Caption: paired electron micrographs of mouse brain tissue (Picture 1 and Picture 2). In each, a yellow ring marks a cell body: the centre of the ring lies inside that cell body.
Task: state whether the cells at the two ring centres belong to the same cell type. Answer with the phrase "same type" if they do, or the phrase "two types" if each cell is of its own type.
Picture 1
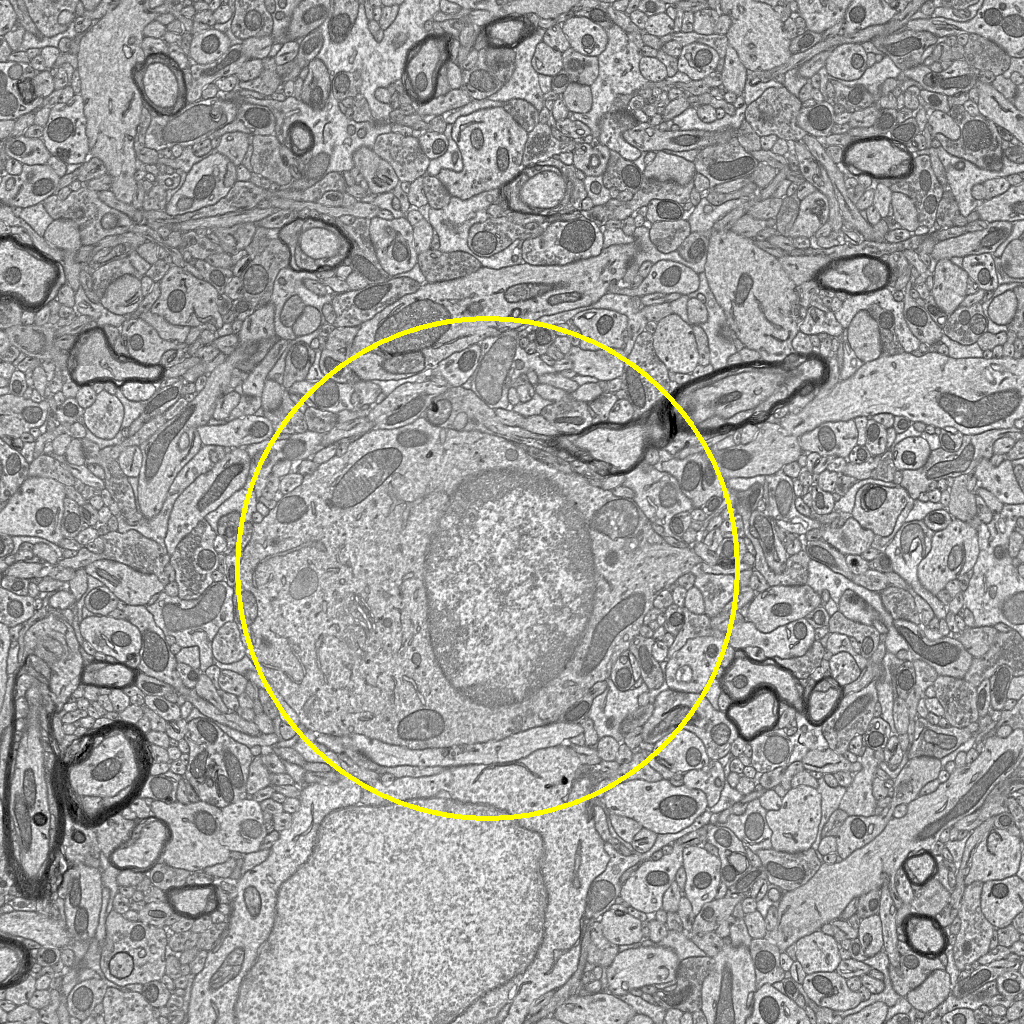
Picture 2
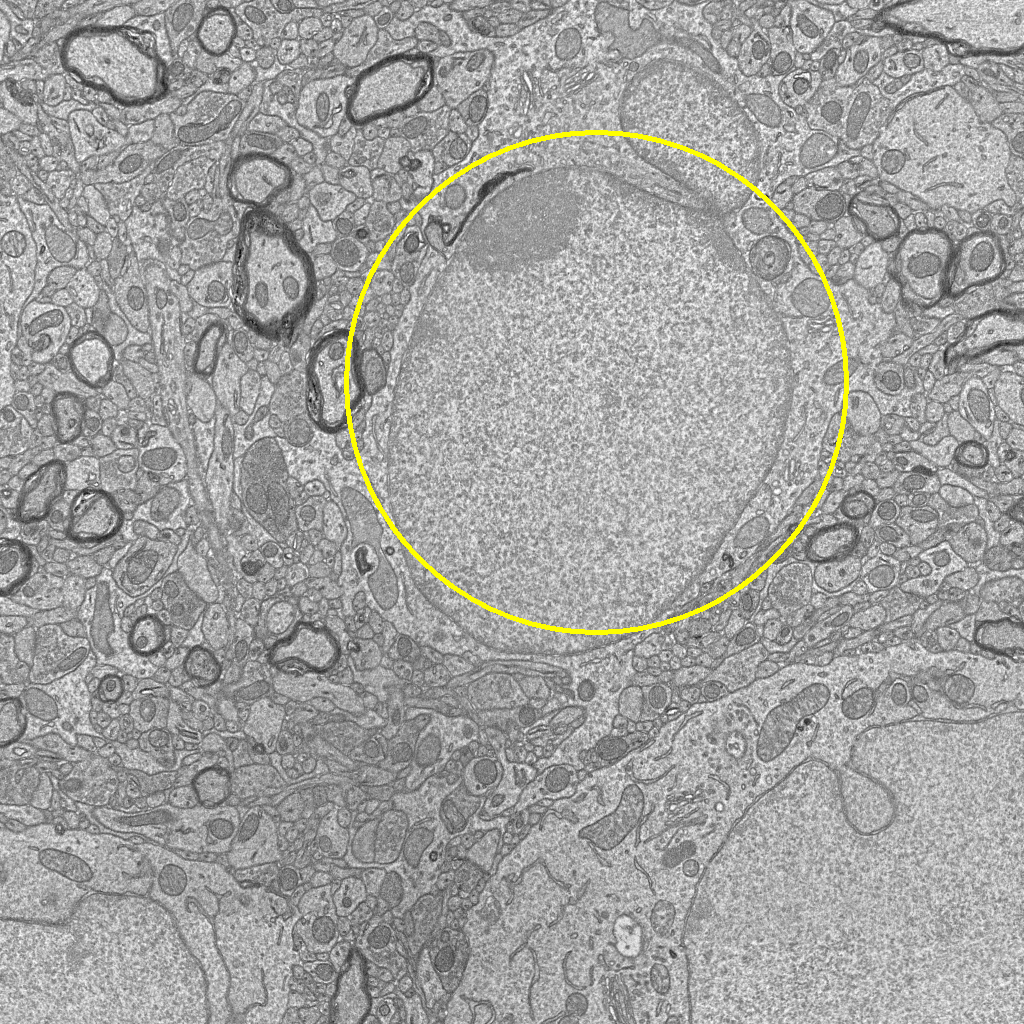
two types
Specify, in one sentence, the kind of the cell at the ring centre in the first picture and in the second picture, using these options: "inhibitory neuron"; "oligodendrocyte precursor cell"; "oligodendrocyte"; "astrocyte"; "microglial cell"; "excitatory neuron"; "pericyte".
The cell marked in the first picture is an oligodendrocyte, and the one marked in the second is an astrocyte.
